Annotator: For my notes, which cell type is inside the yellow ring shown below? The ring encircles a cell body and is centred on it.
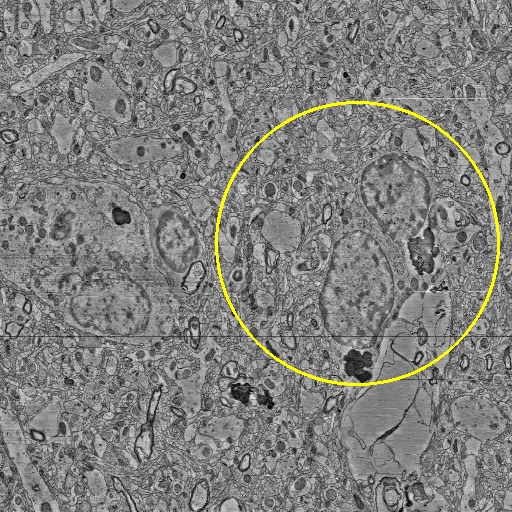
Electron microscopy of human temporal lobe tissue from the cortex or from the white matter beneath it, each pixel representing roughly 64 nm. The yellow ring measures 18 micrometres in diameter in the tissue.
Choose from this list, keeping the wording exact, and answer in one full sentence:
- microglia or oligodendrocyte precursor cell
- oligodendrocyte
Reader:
At the centre of the yellow ring there is an oligodendrocyte, as shown in the picture.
